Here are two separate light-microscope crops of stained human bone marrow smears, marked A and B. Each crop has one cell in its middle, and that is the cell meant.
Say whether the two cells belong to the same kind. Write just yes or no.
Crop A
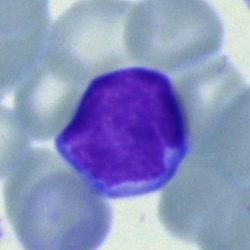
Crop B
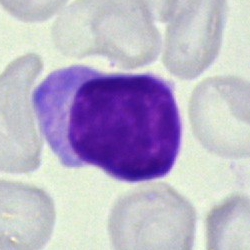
yes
